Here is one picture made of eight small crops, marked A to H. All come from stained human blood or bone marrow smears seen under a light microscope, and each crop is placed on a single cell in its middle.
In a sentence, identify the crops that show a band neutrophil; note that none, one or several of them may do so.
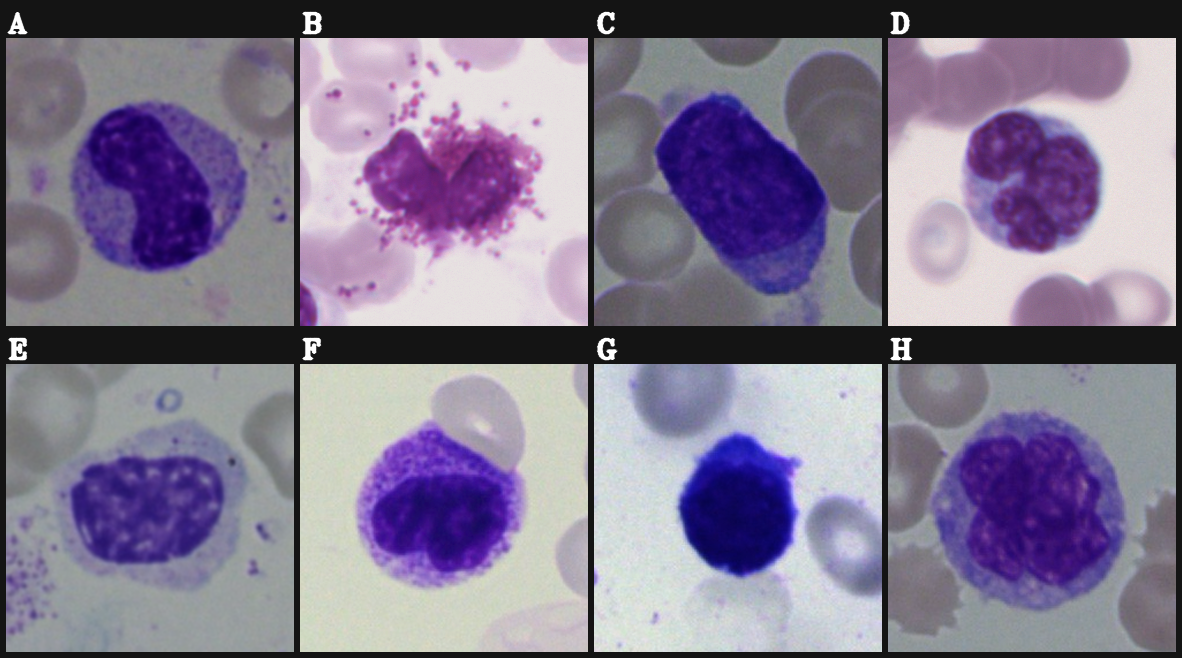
It is crops A and F that show band neutrophils.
